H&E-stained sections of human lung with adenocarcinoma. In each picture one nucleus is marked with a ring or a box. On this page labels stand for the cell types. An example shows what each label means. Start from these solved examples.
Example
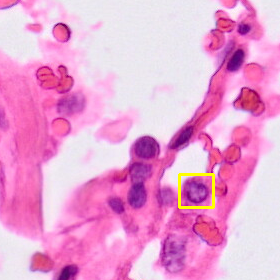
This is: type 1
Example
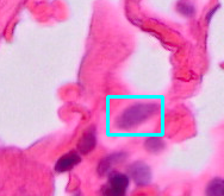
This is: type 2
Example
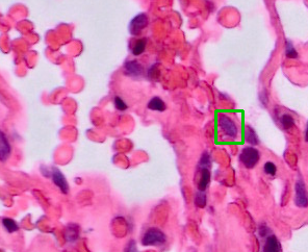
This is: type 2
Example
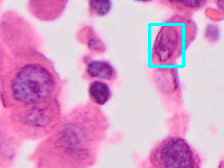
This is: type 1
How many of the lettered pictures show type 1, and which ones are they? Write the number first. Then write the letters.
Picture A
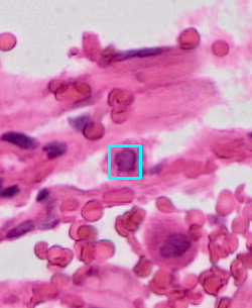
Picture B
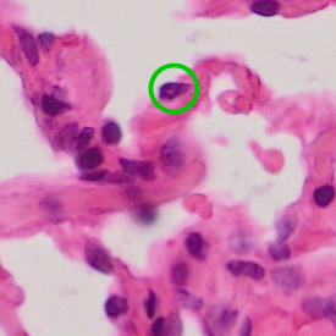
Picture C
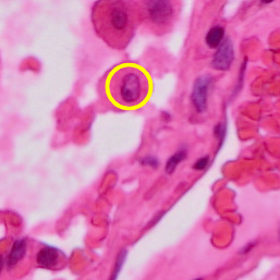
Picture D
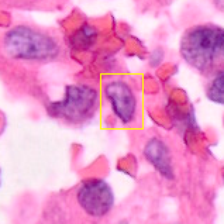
3, namely A, C, D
